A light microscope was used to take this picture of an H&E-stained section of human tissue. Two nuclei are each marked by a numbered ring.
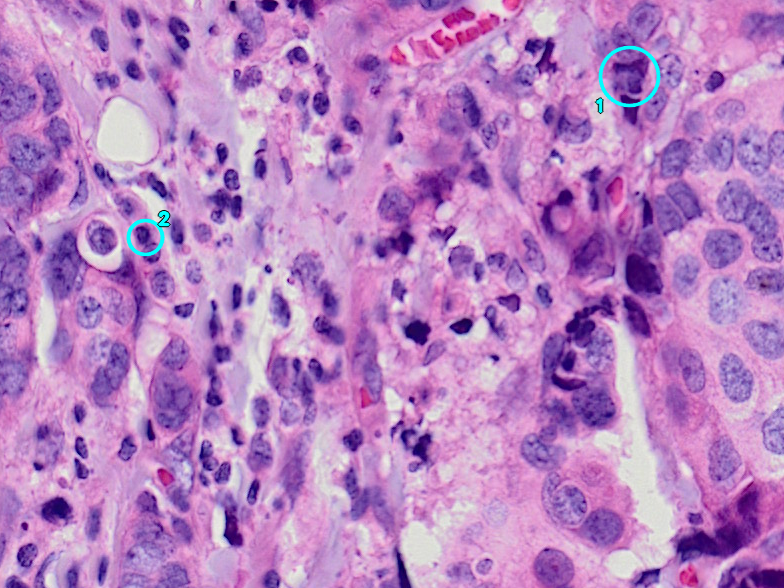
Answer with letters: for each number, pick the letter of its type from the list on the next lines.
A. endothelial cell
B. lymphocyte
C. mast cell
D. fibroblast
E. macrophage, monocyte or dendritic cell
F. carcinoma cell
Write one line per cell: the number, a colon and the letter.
1: F
2: B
